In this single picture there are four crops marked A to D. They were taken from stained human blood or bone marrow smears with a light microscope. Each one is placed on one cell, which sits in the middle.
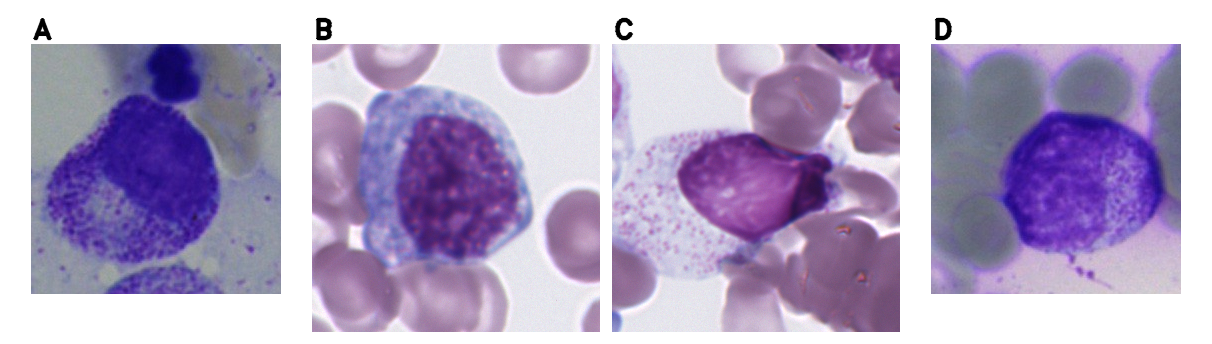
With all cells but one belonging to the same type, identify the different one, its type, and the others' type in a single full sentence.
Crop B is the sole crop with a monocyte; the others all have myelocytes.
